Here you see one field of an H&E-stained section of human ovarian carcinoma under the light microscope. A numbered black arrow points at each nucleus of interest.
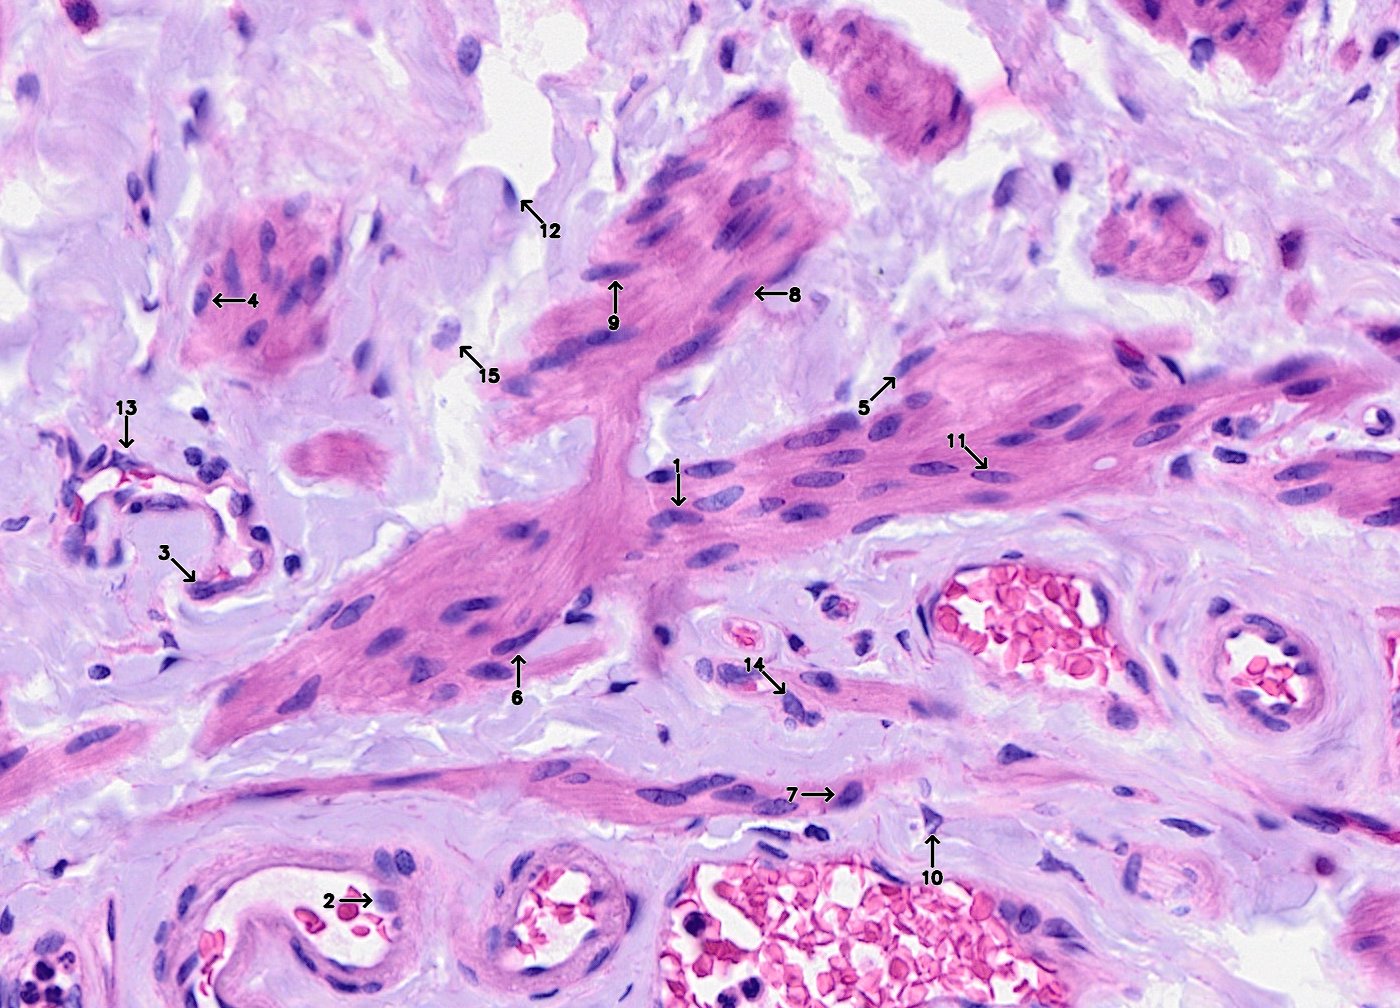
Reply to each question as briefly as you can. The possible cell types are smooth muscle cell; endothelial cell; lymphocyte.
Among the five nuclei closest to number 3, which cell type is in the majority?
endothelial cell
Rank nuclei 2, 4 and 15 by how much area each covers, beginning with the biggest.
15, 2, 4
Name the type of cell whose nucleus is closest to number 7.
lymphocyte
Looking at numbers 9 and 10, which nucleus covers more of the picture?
9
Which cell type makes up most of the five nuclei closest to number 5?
smooth muscle cell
